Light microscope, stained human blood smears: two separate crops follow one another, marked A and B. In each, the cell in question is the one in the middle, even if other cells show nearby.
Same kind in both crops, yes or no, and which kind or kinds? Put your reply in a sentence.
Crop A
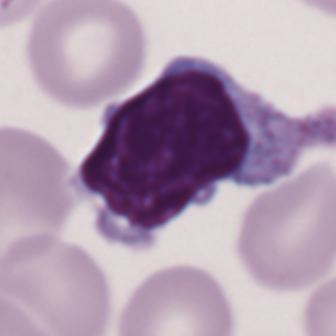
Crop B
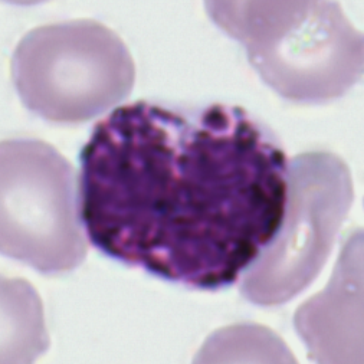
No, crop A shows a typical lymphocyte, and the cell in crop B is a basophil.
